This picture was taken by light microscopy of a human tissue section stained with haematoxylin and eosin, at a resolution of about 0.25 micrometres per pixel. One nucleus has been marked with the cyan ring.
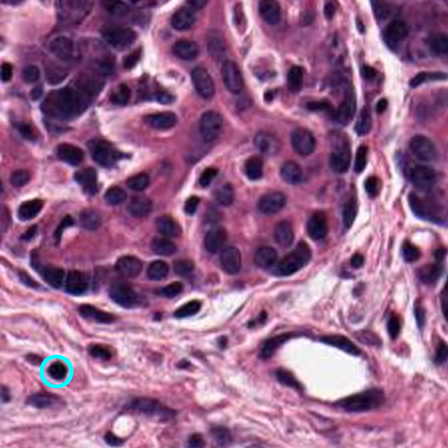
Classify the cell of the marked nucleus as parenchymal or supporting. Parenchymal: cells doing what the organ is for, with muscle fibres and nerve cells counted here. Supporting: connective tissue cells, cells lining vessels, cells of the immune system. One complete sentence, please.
It is a supporting cell to which the marked nucleus belongs.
